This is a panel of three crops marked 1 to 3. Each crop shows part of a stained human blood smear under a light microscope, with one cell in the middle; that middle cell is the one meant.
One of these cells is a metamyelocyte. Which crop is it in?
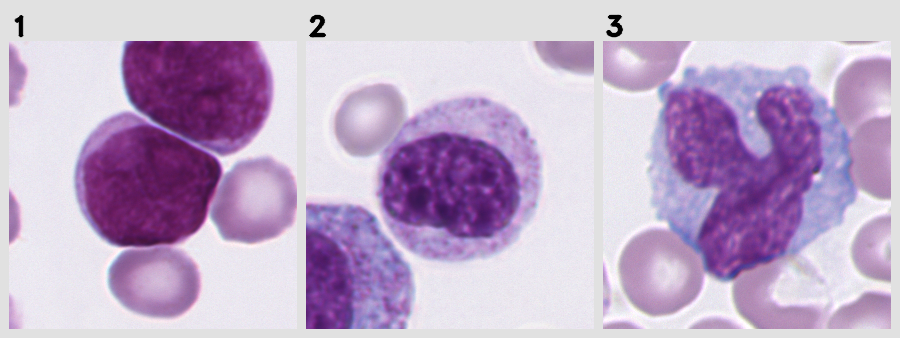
2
